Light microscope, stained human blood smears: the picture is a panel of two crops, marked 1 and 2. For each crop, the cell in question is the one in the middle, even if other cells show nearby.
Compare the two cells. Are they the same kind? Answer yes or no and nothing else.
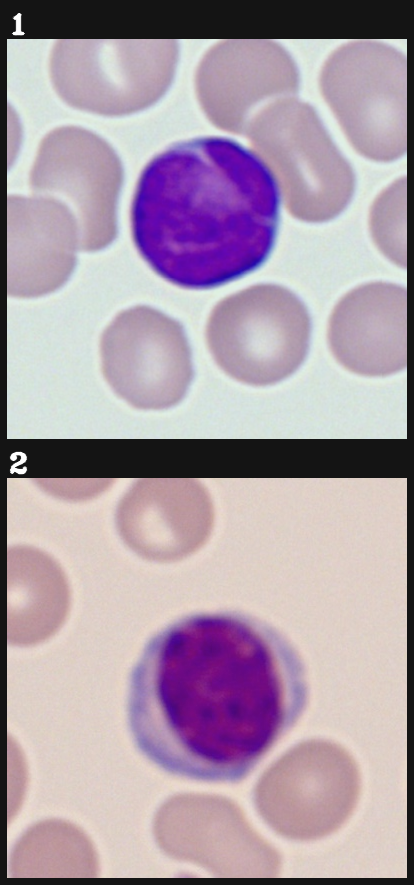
no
